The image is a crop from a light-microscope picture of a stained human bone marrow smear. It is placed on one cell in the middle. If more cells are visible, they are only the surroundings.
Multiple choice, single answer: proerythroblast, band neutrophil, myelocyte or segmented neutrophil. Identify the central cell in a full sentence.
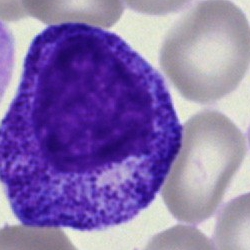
The cell of interest, in the center, is a myelocyte.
